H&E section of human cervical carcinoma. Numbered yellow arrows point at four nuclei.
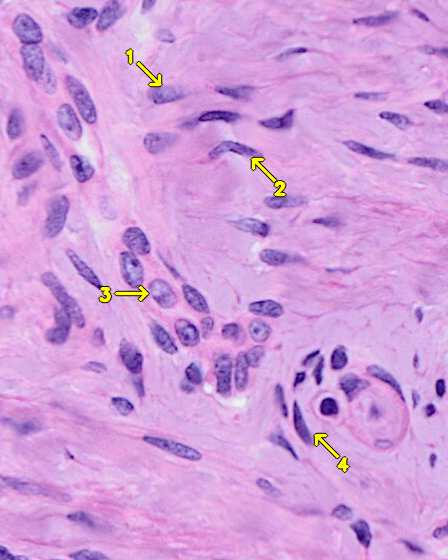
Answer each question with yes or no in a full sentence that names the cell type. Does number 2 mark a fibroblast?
Yes, the cell with number 2 is a fibroblast.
